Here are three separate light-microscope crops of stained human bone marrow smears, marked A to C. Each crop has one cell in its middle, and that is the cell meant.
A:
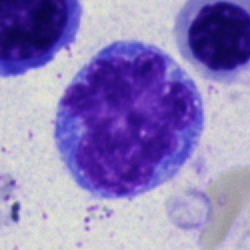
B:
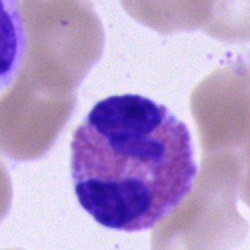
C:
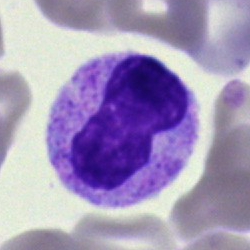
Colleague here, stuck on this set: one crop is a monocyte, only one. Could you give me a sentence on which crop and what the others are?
Crop A corresponds to a monocyte, whereas crop B is an eosinophil and crop C is a band neutrophil.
